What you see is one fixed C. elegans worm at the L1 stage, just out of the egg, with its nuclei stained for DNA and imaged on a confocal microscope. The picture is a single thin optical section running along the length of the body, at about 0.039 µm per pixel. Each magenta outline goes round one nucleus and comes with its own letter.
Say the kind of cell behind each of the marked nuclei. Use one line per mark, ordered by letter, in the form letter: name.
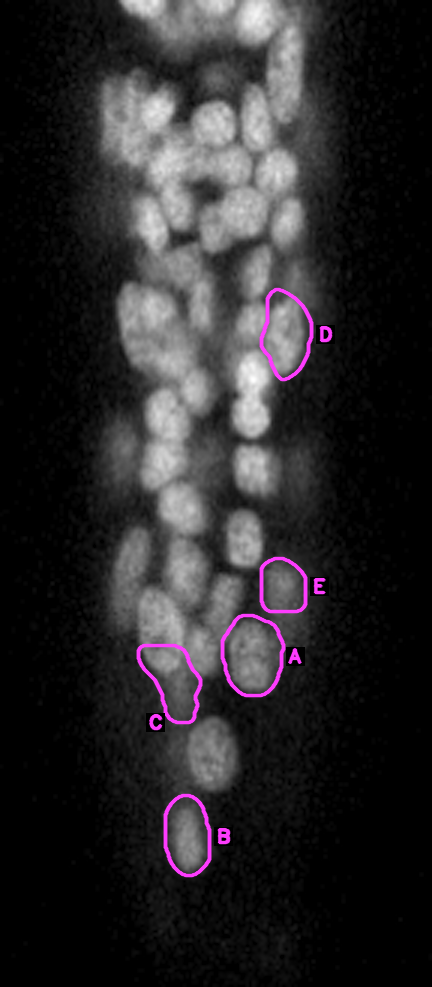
A: body wall muscle cell
B: pharyngeal epithelial cell
C: pharyngeal muscle cell
D: body wall muscle cell
E: body wall muscle cell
